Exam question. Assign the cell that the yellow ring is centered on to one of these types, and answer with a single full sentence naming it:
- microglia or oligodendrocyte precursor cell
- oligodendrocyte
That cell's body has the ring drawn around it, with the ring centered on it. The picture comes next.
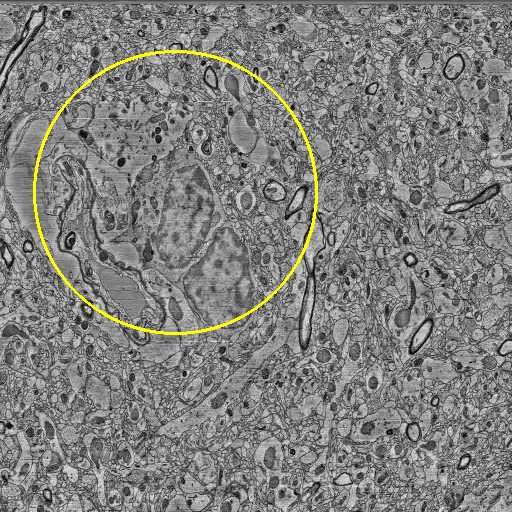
In the micrograph, the cell the yellow ring is centered on is an oligodendrocyte.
